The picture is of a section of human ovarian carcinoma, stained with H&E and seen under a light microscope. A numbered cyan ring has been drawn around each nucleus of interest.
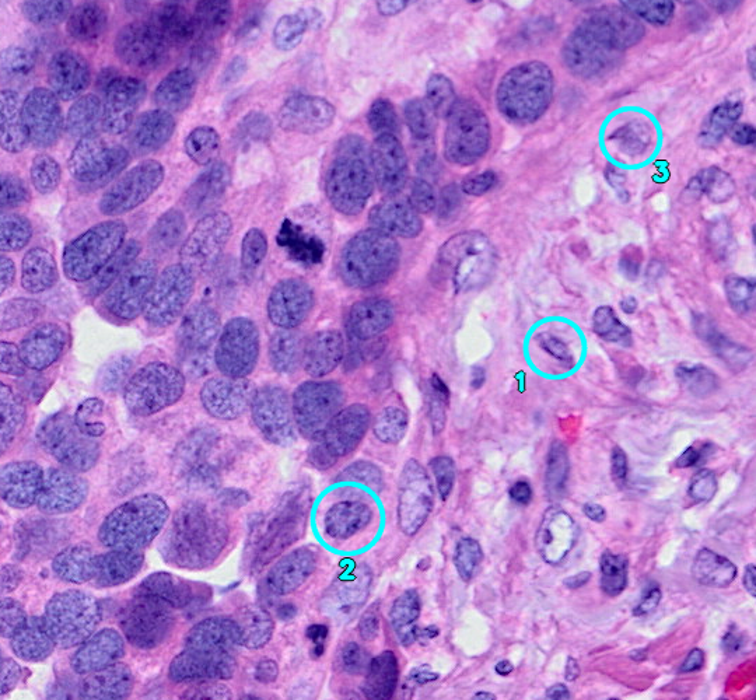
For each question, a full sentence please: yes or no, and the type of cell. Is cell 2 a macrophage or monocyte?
Yes, number 2 marks a cell that is a macrophage or monocyte.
